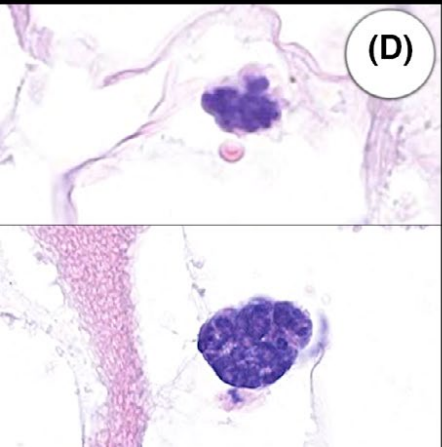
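Two large cells lie singly in a pale pink, loosely fibrous background, each with a big, deeply purple nucleus folded into several clumped lobes. Around the nuclei there is little or no cytoplasm, so the lobed nucleus appears almost bare. A small round red blood cell beside the upper cell shows how much larger these cells are. These are megakaryocytes, many with stripped cytoplasm.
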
